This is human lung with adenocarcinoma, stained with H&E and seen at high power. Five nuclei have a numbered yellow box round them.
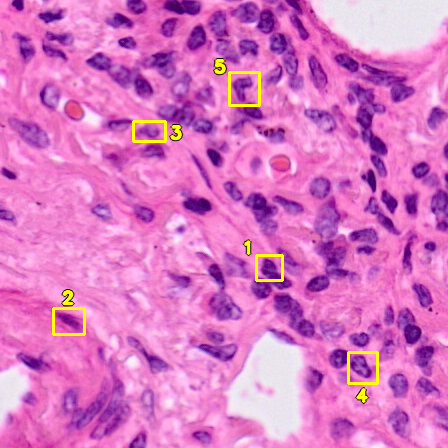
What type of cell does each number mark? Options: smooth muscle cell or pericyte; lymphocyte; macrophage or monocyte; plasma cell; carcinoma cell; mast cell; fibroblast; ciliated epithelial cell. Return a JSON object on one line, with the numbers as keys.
{"1": "lymphocyte", "2": "smooth muscle cell or pericyte", "3": "plasma cell", "4": "lymphocyte", "5": "lymphocyte"}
